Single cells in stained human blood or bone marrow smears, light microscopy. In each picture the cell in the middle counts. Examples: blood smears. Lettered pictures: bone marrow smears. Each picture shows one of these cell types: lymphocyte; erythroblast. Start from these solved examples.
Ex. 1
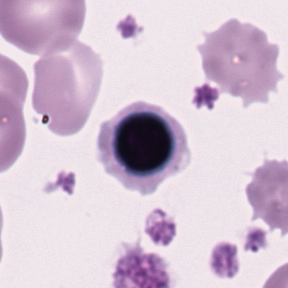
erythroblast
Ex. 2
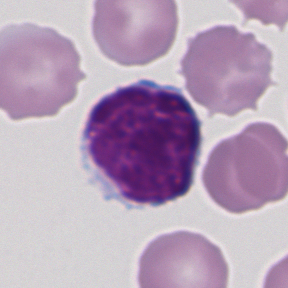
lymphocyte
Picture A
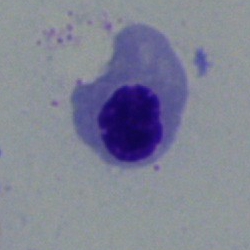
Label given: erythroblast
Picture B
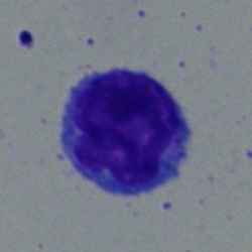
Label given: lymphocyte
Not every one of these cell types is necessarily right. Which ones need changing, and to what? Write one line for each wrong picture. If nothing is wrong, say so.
None of the labels needs changing.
